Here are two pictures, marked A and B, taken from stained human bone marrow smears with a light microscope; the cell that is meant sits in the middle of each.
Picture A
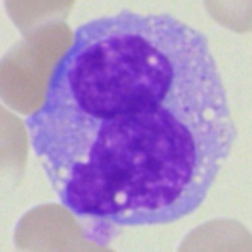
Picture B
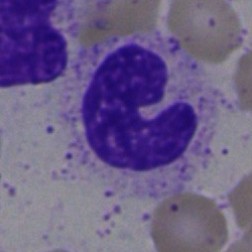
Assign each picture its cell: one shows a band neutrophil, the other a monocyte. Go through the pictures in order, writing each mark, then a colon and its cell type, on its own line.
A: monocyte
B: band neutrophil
